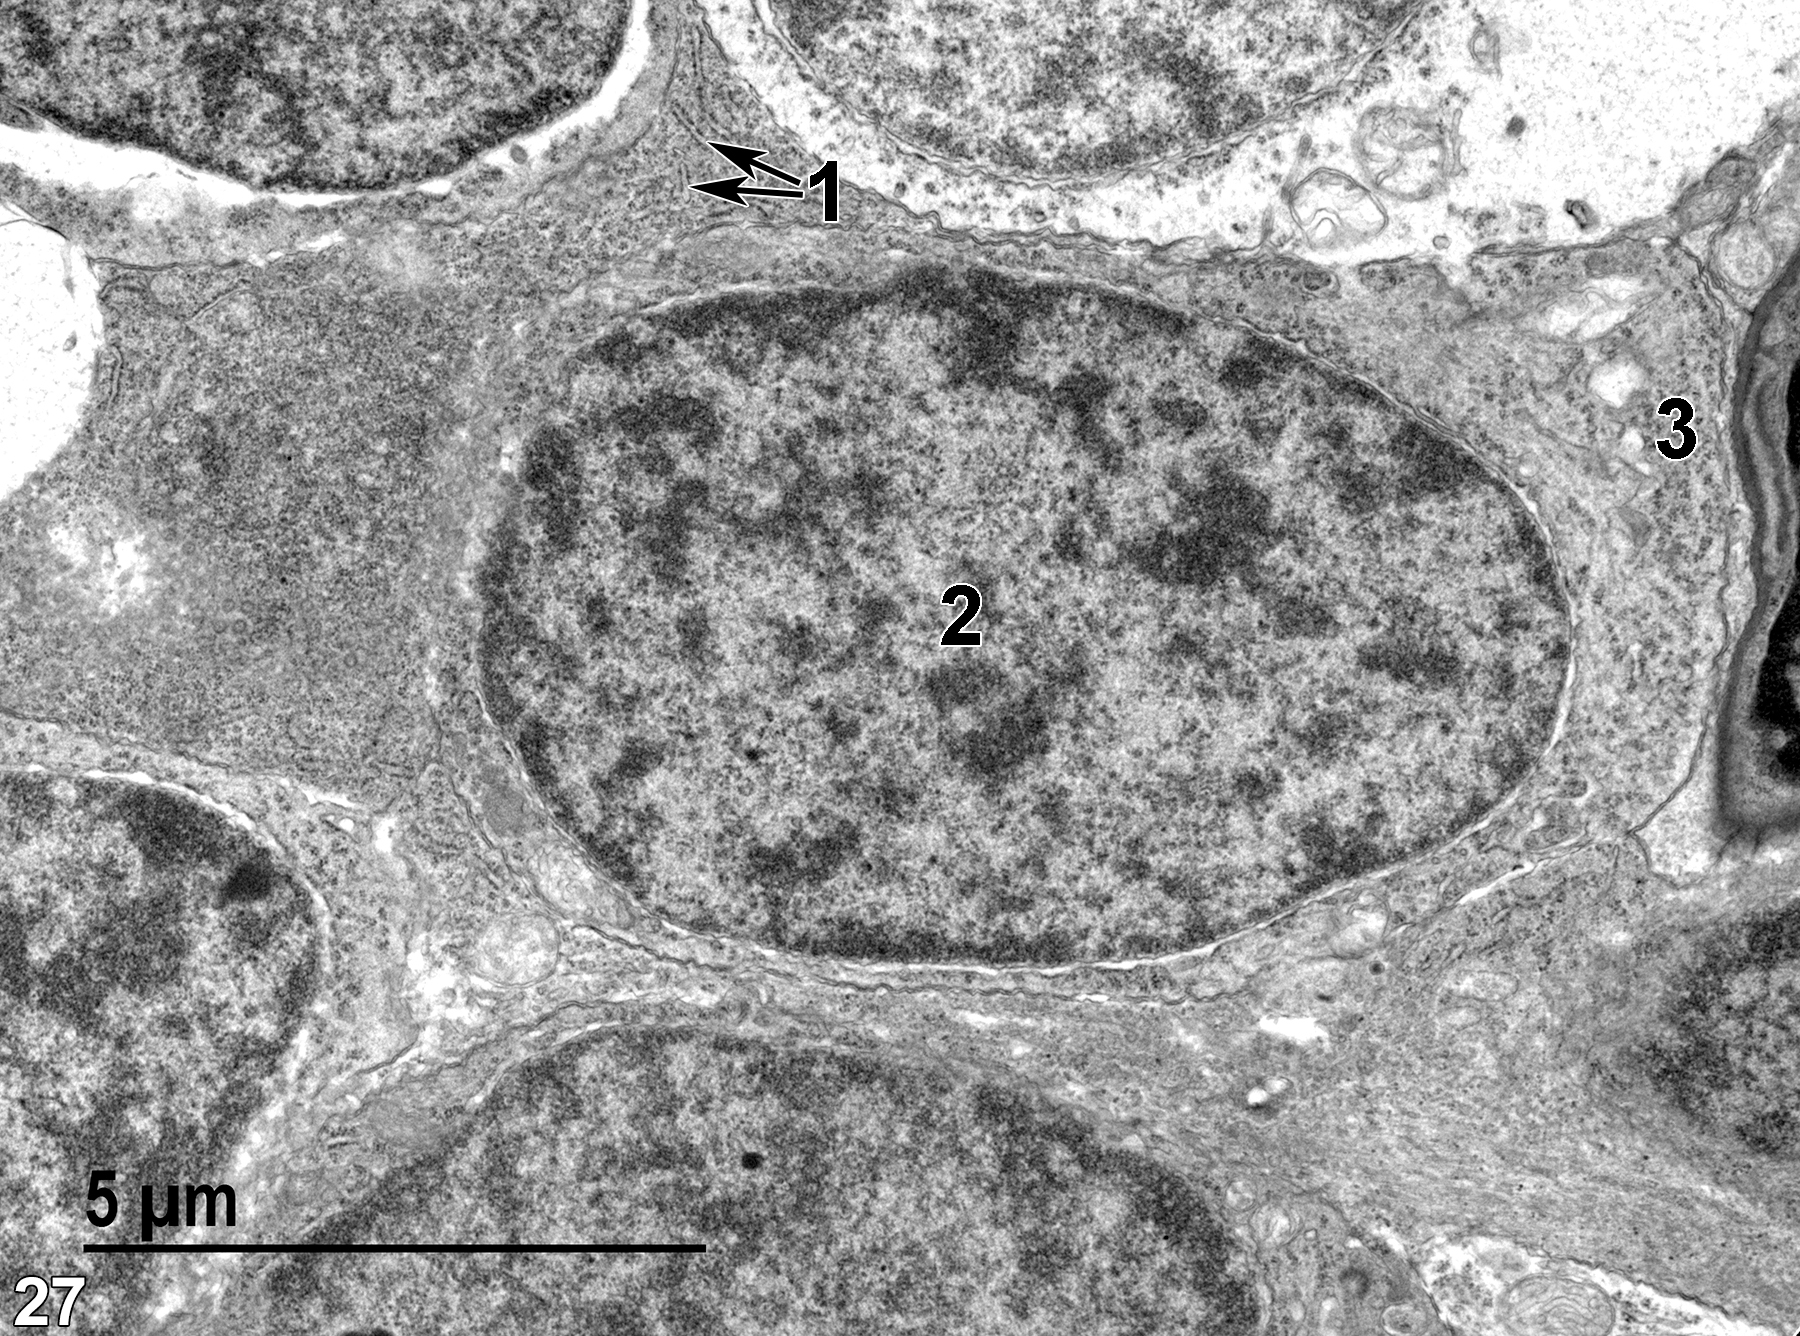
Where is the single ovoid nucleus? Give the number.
The single ovoid nucleus: 2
